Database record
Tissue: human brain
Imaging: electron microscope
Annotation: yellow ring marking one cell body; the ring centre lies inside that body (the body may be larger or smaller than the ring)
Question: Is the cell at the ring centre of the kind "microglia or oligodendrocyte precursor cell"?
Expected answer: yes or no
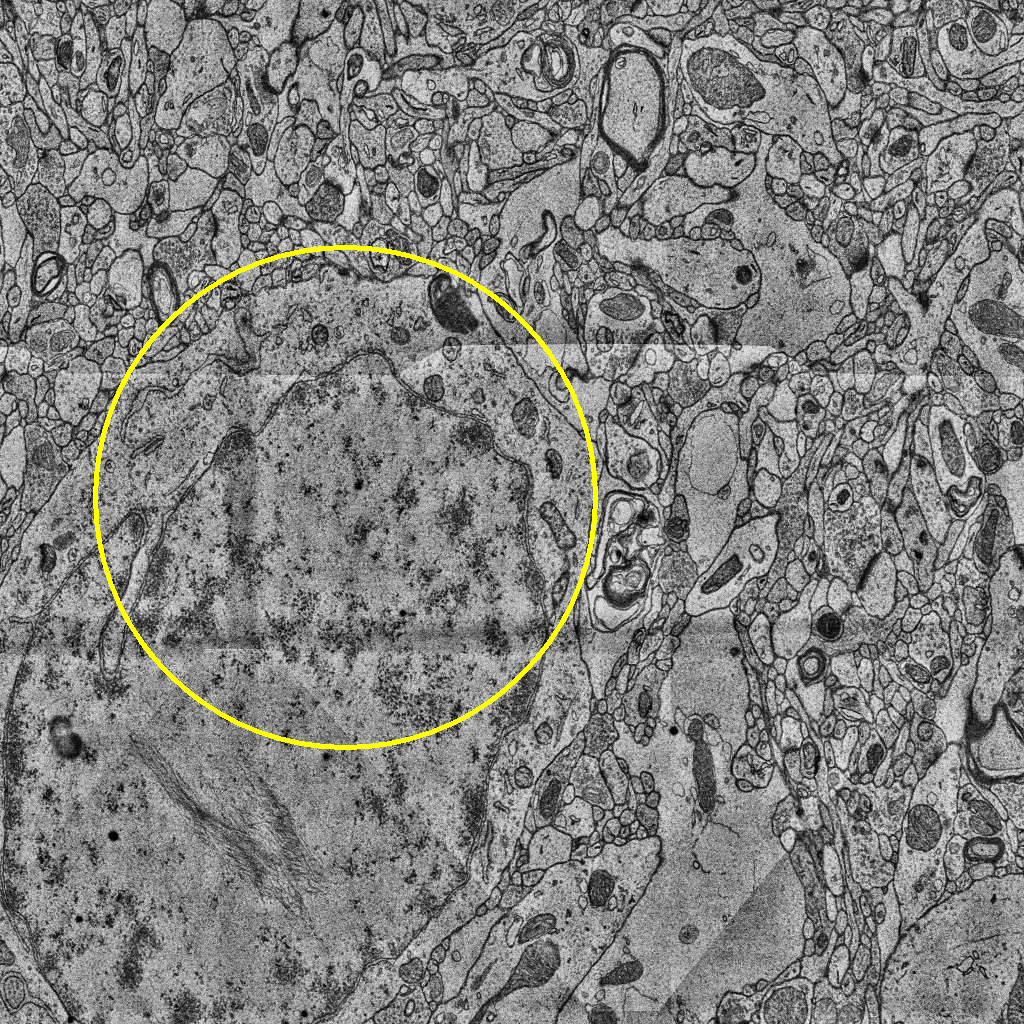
no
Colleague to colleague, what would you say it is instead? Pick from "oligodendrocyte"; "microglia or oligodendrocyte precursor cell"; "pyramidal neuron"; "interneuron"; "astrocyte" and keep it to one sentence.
Instead, the cell at the centre of the yellow ring is an interneuron.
